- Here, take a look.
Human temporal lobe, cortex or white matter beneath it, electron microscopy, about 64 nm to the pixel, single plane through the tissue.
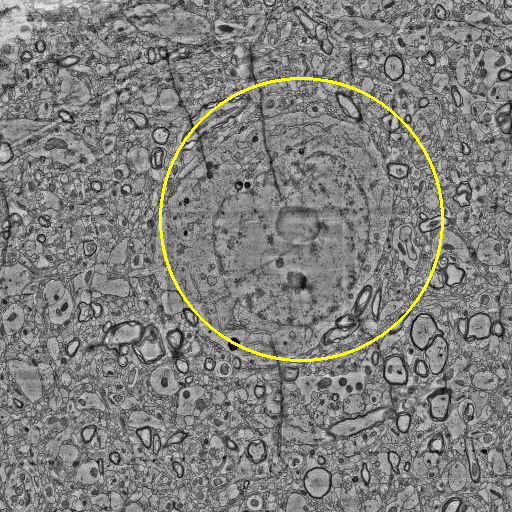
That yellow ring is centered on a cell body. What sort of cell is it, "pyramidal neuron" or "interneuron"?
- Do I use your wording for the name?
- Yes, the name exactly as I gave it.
interneuron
